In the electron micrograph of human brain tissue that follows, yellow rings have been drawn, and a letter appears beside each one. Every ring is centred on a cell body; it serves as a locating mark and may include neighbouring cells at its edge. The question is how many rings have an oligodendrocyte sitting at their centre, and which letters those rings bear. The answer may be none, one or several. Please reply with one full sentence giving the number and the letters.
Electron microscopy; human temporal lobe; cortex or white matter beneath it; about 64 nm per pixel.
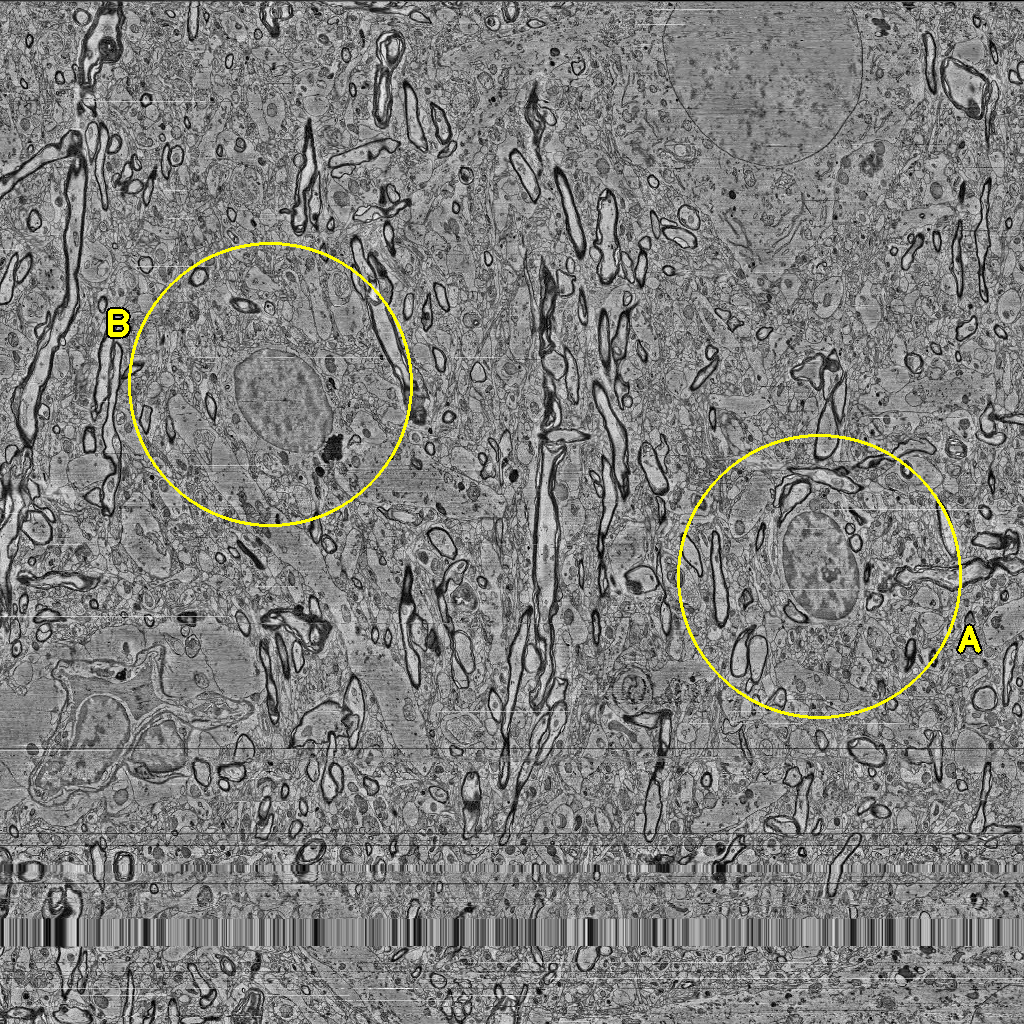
One finds two rings centred on an oligodendrocyte apiece, labelled with the letters A and B.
